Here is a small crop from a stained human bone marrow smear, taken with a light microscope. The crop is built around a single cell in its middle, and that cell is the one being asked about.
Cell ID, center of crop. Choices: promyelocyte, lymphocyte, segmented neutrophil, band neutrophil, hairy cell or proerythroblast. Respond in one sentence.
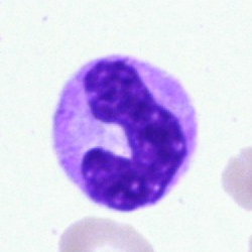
In short, the cell at the center is a band neutrophil.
